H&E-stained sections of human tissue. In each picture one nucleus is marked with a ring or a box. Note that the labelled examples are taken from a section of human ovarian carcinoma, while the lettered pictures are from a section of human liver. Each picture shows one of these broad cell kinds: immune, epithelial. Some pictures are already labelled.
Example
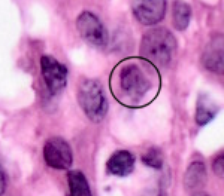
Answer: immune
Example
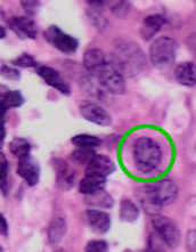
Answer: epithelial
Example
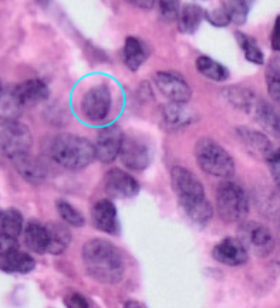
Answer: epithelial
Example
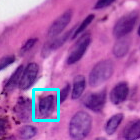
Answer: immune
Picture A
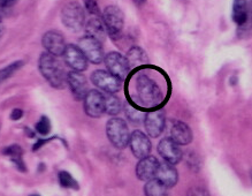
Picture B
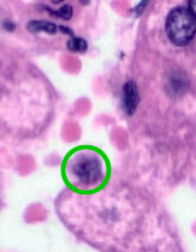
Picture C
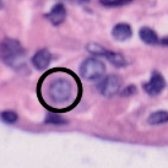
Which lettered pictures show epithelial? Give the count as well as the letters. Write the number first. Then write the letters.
Count: 2 (A, C)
